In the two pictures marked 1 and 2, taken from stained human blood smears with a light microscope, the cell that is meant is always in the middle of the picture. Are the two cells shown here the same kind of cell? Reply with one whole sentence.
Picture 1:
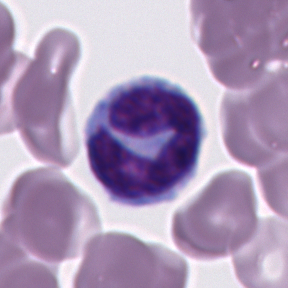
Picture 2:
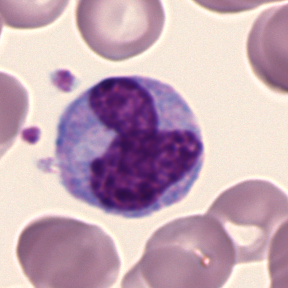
Yes, they are the same type: both are monocytes.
